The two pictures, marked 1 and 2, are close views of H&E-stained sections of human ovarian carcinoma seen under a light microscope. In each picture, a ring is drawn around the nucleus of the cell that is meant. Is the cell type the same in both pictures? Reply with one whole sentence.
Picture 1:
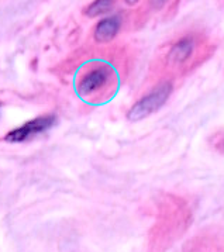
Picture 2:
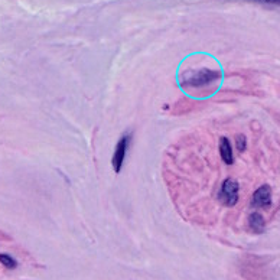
Yes, they are the same type: both are smooth muscle cells.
